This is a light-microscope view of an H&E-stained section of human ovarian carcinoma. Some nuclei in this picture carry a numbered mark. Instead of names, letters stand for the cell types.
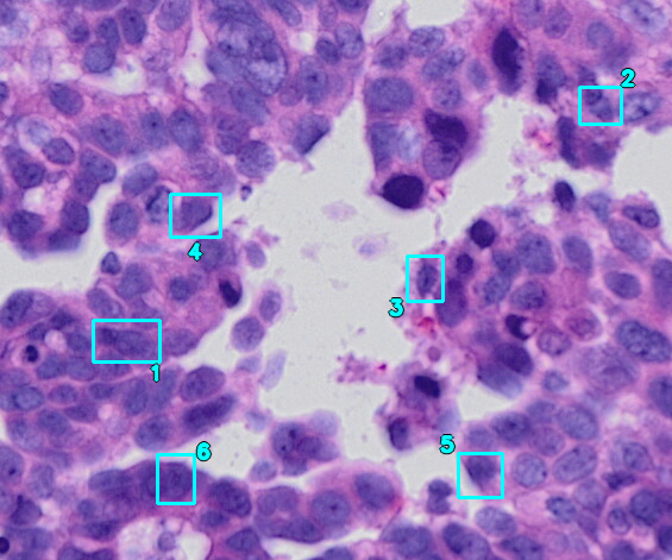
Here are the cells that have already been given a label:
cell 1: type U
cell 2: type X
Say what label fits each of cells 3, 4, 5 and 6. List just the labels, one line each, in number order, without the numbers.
type X
type U
type U
type U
